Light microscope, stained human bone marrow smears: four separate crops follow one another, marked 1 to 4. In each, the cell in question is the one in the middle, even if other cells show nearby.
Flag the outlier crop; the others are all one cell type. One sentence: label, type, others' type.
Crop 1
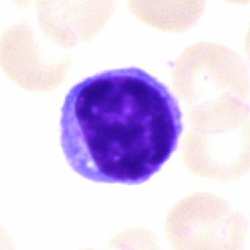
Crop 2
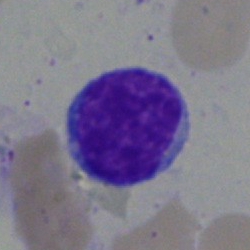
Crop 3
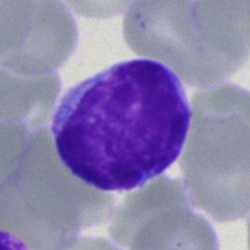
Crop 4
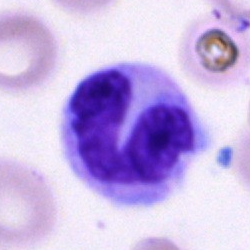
Of all the crops, only crop 4 shows a monocyte; the others show lymphocytes.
